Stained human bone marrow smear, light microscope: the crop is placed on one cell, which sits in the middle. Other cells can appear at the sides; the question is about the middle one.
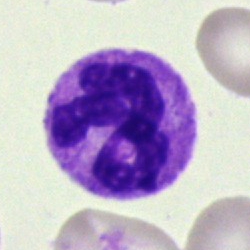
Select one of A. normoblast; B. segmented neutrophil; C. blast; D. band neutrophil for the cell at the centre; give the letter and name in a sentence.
In the centre of the crop there is a segmented neutrophil, making option B correct.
